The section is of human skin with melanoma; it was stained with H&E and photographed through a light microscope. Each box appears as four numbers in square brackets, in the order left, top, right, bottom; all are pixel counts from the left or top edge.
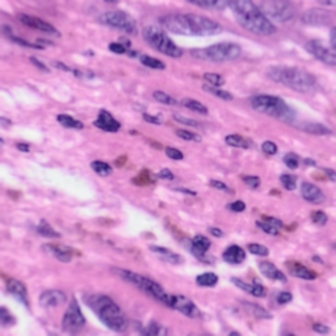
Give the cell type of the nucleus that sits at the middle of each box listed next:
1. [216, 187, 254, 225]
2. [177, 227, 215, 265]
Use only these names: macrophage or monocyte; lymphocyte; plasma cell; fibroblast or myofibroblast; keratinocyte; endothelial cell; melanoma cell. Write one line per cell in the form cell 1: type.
cell 1: lymphocyte
cell 2: plasma cell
